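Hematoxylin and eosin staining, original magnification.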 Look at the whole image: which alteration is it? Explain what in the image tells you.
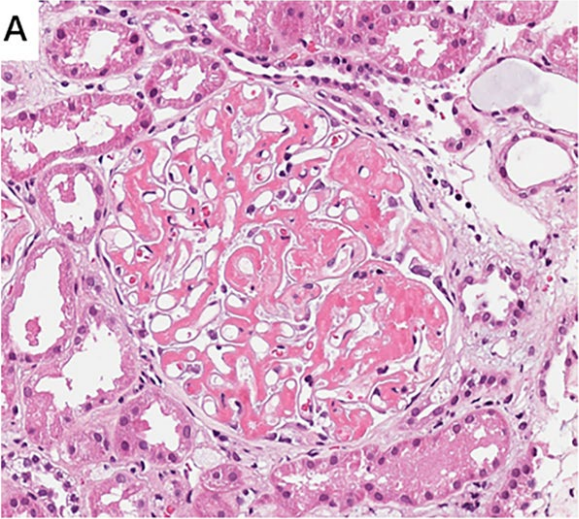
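Few nuclei lie within the widened pink areas.
Hence: The mesangium was greatly expanded.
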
